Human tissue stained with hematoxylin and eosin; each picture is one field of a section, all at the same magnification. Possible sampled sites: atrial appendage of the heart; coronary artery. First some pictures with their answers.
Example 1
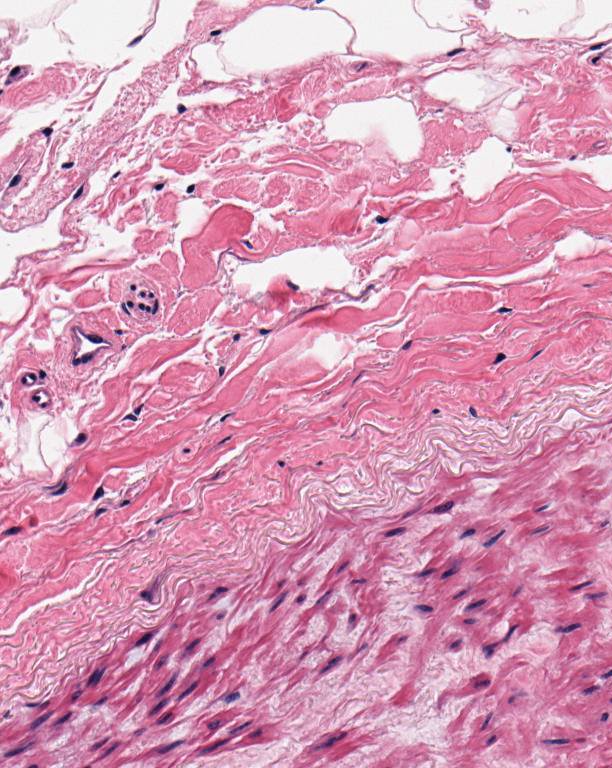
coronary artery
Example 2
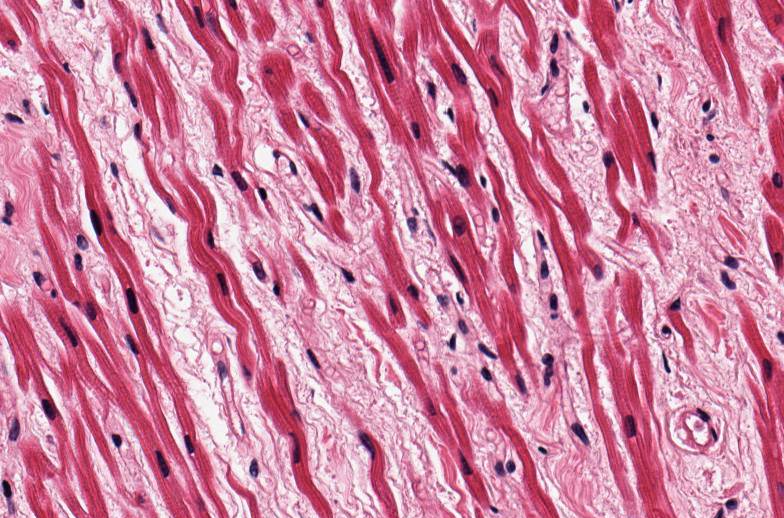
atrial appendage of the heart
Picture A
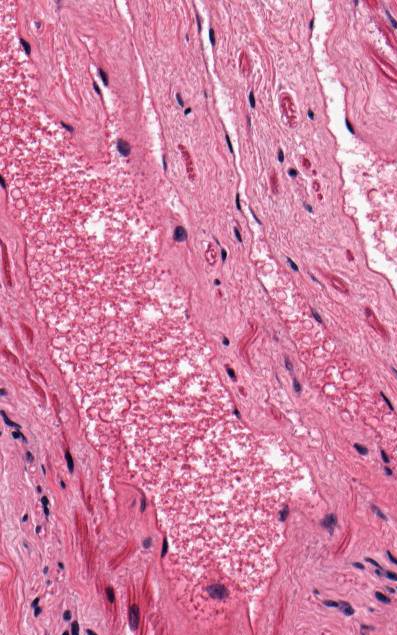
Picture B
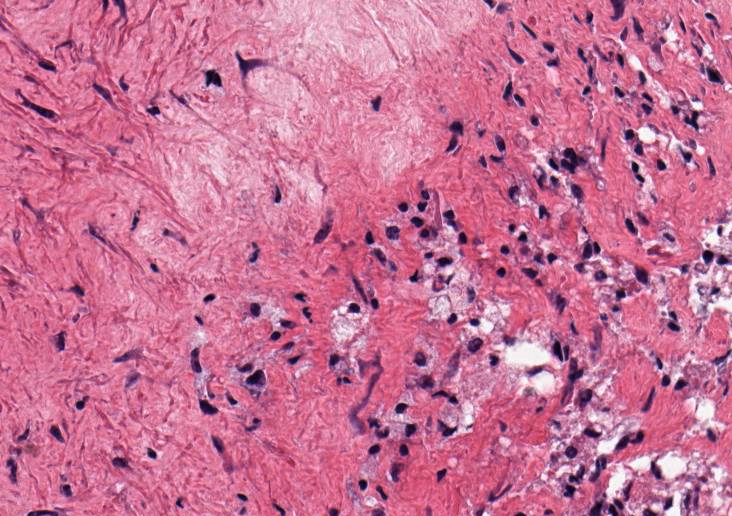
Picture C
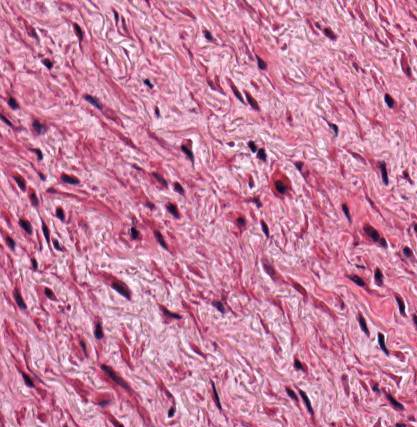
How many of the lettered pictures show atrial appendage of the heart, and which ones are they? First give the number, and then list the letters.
Count: 1 (A)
